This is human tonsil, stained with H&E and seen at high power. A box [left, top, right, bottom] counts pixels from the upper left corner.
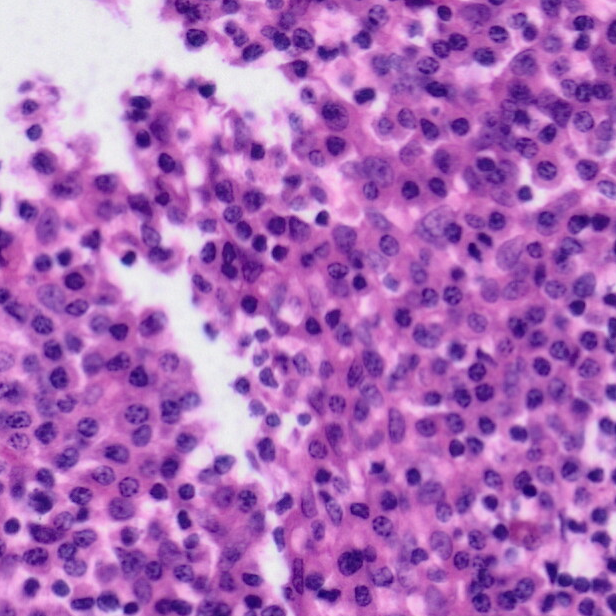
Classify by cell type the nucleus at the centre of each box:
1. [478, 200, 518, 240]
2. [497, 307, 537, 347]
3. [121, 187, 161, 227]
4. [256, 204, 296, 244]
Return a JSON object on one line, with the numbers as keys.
{"1": "plasma cell", "2": "plasma cell", "3": "squamous epithelial cell", "4": "plasma cell"}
